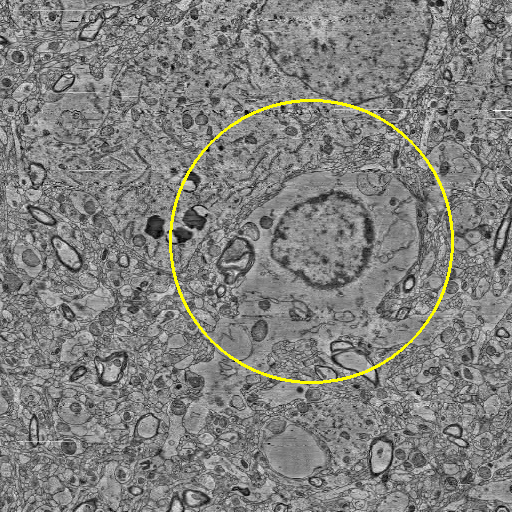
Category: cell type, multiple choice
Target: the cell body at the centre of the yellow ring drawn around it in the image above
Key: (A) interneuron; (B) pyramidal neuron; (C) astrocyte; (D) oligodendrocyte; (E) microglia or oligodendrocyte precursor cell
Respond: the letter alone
C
